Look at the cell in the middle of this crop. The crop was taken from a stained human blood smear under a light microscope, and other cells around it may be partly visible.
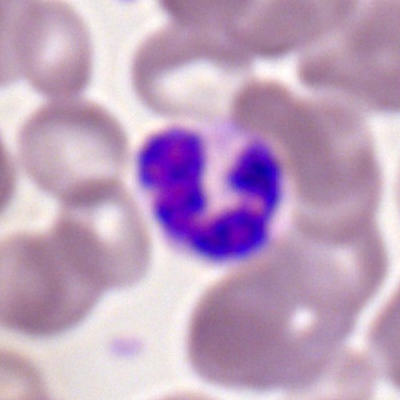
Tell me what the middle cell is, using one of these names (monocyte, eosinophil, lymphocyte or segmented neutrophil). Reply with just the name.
segmented neutrophil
